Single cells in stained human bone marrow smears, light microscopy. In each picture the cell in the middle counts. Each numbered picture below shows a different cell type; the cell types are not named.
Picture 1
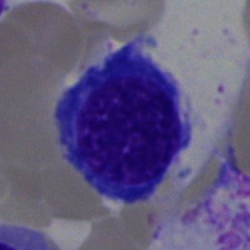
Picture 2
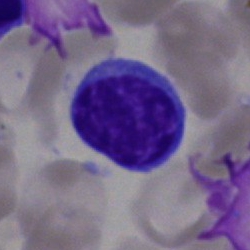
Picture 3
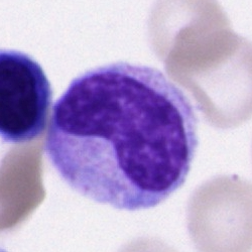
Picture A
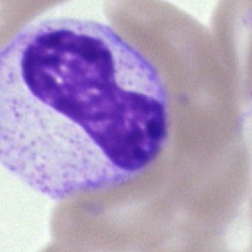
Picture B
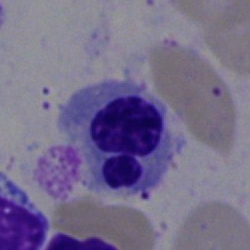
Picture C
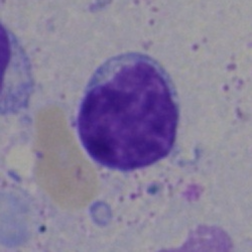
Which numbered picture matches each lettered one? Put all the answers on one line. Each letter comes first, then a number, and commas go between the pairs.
A 3, B 1, C 2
